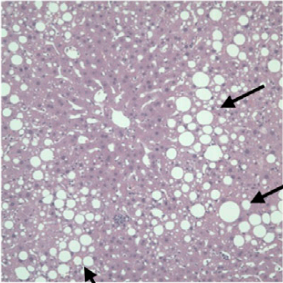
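Liver tissue stained pink with purple nuclei, centred on a small open vessel. Much of the field is taken up by round, clear, empty-looking vacuoles of many sizes, from tiny ones to some several times the size of a liver cell. They gather in broad zones, especially toward the edges of the field, while the tissue right around the vessel keeps more of its pink cords of cells. Between the vacuoles the pink cytoplasm is squeezed into thin strands.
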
